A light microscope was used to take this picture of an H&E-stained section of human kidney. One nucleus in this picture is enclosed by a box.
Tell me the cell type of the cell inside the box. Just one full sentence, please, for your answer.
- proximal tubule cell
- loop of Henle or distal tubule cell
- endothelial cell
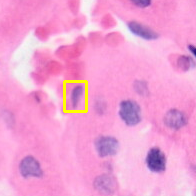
The correct response here is that the cell inside the box is an endothelial cell.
